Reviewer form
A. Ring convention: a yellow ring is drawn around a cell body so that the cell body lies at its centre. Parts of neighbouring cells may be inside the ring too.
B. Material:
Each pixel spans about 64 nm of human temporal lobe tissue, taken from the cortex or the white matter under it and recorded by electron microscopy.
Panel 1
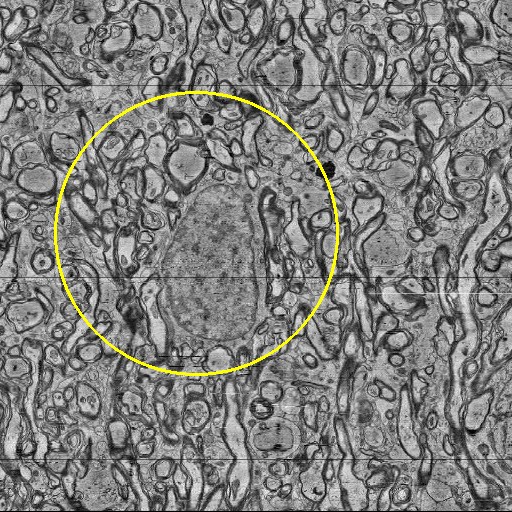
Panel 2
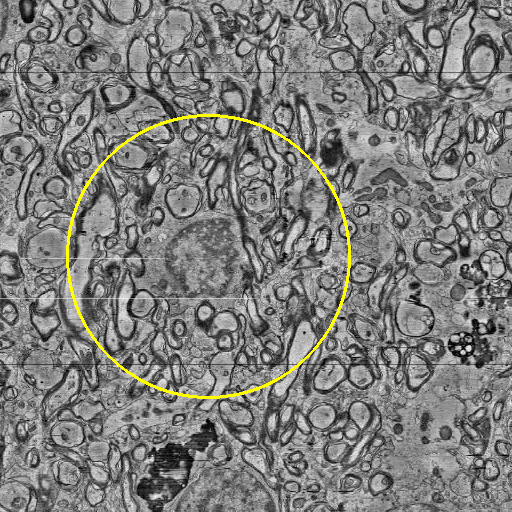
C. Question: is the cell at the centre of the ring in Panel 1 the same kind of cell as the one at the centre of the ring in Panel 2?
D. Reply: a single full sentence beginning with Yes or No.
Yes, the cells in Panel 1 and Panel 2 are the same kind of cell.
